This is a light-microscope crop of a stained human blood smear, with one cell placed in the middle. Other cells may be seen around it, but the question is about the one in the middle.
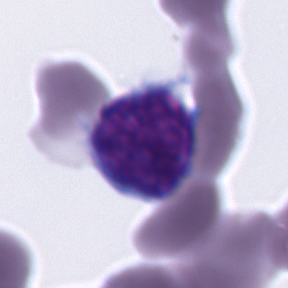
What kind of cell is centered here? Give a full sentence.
The central cell, amid any neighbouring cells, is a hairy cell.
